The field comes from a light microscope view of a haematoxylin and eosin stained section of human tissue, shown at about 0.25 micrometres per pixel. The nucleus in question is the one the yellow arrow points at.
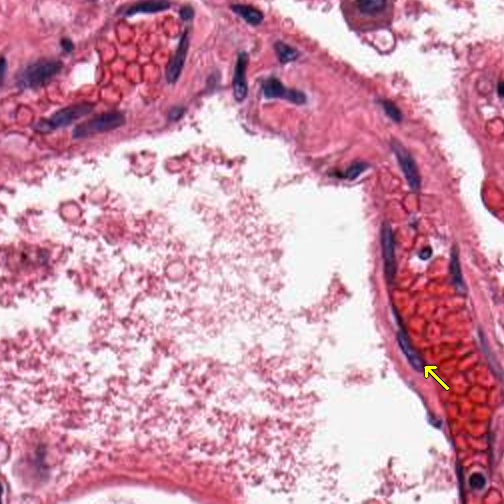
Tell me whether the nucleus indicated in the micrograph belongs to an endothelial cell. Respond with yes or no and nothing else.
yes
